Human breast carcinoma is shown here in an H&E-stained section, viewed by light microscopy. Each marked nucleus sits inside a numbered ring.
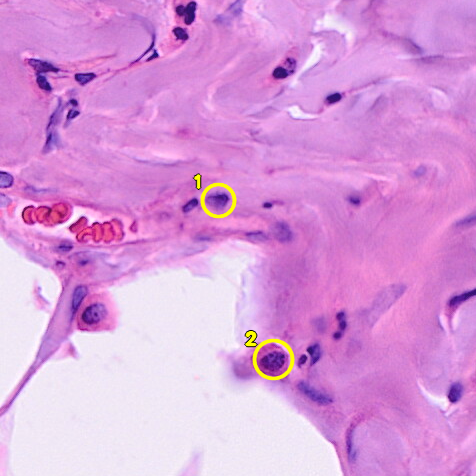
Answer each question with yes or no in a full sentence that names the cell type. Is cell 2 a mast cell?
Yes, the marked cell with number 2 is a mast cell.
